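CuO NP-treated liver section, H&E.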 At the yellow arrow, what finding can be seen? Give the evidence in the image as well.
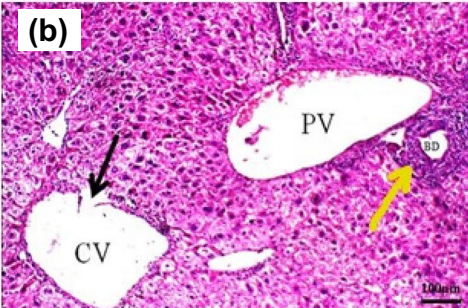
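Crowded dark nuclei around a small duct next to the large vein. The focus is darker purple than the surrounding liver. The answer: portal inflammatory infiltrate.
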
